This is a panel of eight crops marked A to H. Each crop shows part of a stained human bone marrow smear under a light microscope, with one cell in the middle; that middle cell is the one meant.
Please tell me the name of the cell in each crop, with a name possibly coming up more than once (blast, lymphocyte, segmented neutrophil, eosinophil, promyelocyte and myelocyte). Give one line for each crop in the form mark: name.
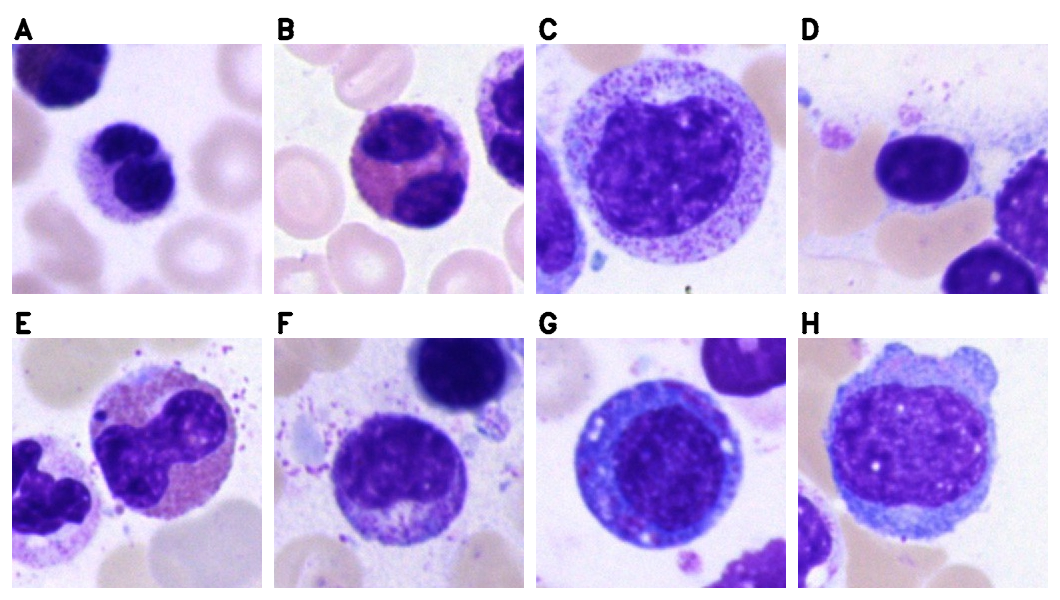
A: segmented neutrophil
B: eosinophil
C: myelocyte
D: lymphocyte
E: eosinophil
F: myelocyte
G: promyelocyte
H: blast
